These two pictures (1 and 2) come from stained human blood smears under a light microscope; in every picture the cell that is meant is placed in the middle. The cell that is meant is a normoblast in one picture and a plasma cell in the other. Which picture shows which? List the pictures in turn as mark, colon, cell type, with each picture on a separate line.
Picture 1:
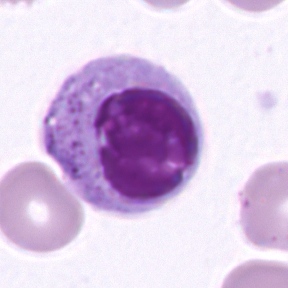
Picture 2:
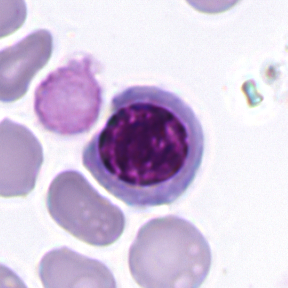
1: plasma cell
2: normoblast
